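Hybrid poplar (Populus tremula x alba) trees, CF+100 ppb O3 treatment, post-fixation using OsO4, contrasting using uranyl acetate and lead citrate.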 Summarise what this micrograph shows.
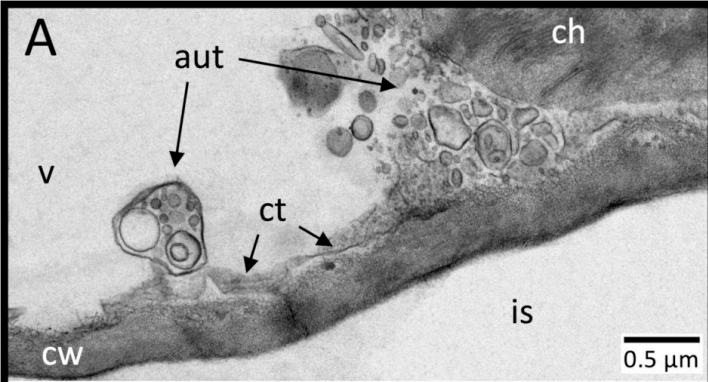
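Transmission electron micrograph of the edge of a leaf mesophyll cell facing an intercellular space, where only a thin layer of cytoplasm lines the thick, layered cell wall. Membrane-bound autophagic structures containing smaller vesicles and concentric membranes lie in the vacuole and beside a chloroplast with stacked membranes. Few other organelles are seen in the cytoplasm.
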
